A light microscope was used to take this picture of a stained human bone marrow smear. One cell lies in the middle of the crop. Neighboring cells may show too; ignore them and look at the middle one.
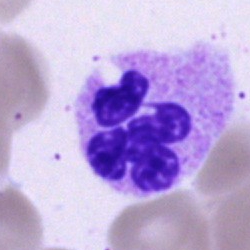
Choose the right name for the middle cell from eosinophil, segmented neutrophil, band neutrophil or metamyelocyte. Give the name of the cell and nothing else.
segmented neutrophil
